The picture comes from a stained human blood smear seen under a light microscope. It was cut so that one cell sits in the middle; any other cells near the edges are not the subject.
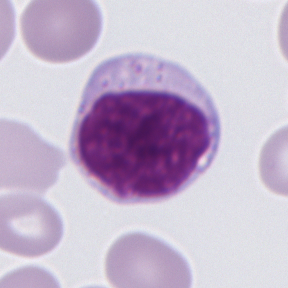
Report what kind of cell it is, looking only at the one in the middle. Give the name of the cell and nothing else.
large granular lymphocyte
